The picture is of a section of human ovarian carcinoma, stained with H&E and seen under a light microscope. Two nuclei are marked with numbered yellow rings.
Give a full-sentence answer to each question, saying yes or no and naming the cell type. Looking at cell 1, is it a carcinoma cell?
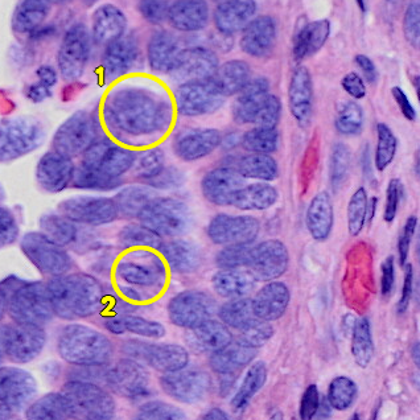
Yes, the cell given number 1 is a carcinoma cell.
